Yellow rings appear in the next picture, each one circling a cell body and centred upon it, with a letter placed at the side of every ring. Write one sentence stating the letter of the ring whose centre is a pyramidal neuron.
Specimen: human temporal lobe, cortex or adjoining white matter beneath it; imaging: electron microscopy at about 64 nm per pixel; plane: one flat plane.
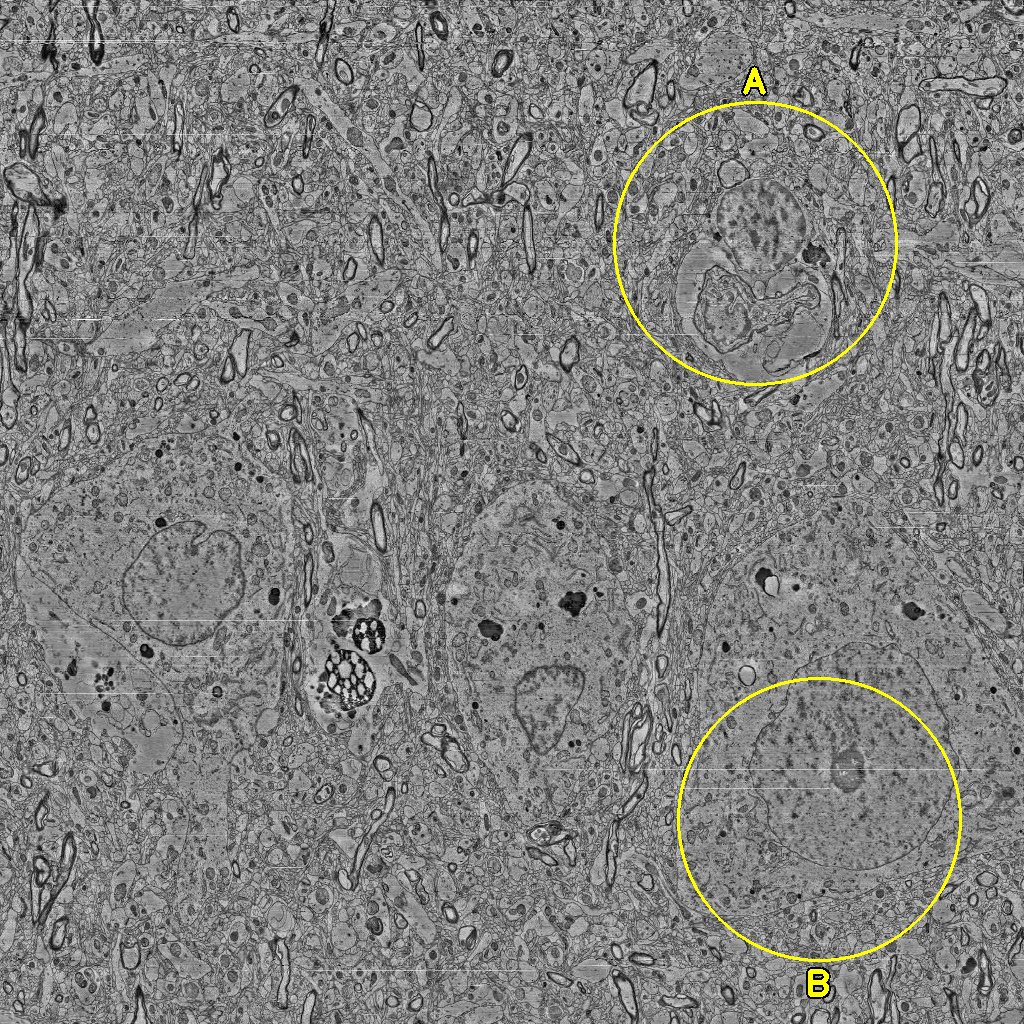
In the picture, the cell asked for lies at the centre of ring B.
